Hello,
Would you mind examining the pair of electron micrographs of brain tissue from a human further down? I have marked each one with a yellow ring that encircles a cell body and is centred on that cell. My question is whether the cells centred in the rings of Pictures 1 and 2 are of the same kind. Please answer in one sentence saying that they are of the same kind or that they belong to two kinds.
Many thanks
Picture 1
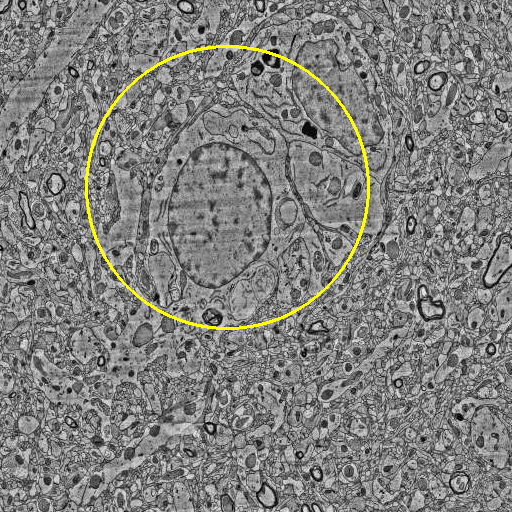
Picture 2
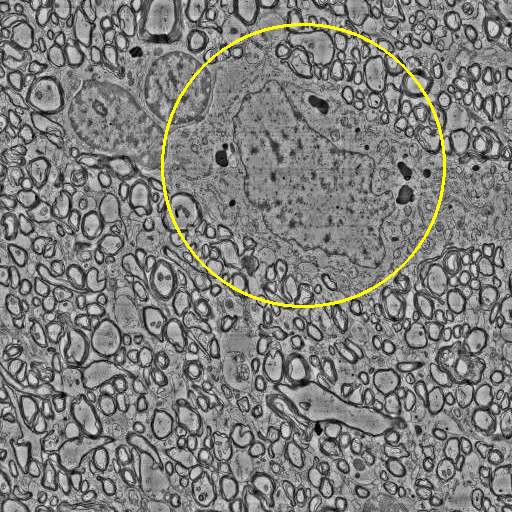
In Pictures 1 and 2, the cells at the heart of the rings belong to two kinds.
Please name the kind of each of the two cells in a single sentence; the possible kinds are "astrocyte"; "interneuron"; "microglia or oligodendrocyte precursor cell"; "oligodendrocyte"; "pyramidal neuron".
In the first picture the ring is centred on an astrocyte, and in the second on a pyramidal neuron.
